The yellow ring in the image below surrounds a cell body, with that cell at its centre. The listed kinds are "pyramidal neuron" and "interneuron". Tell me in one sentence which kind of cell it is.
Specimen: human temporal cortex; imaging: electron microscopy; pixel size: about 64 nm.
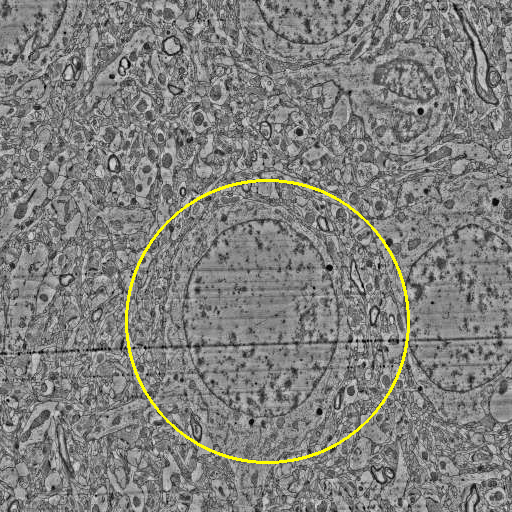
The centre of the ring holds a pyramidal neuron.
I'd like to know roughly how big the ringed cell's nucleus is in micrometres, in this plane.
The nucleus measures about 13 by 10 micrometres in this plane.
